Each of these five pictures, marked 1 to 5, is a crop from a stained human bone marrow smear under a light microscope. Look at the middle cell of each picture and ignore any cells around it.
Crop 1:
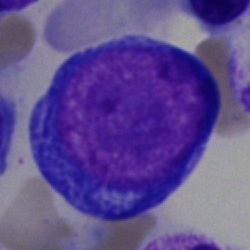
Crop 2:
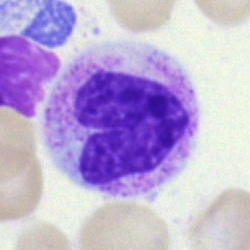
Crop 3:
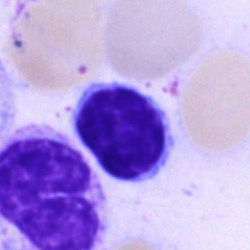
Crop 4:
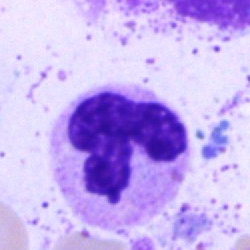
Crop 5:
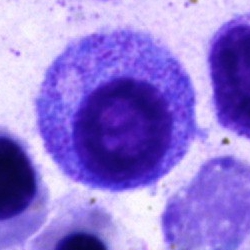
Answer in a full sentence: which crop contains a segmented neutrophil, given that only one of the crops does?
Crop 4 alone, of all the crops, shows a segmented neutrophil.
